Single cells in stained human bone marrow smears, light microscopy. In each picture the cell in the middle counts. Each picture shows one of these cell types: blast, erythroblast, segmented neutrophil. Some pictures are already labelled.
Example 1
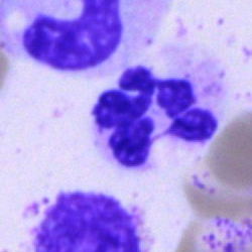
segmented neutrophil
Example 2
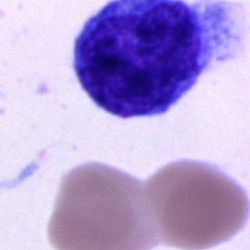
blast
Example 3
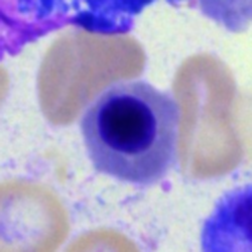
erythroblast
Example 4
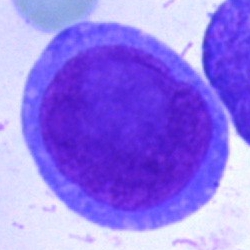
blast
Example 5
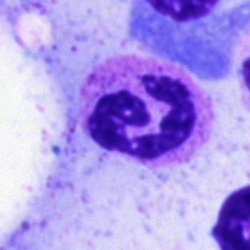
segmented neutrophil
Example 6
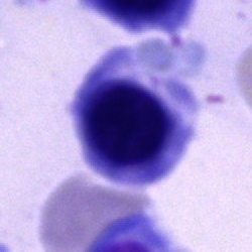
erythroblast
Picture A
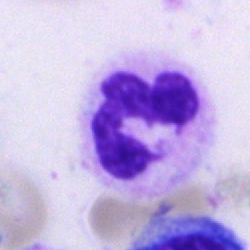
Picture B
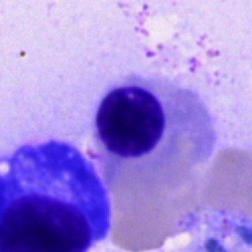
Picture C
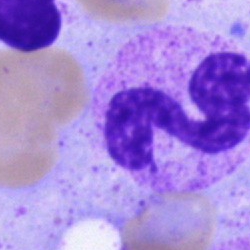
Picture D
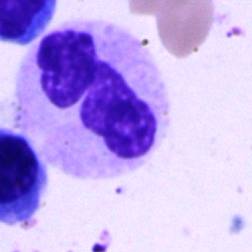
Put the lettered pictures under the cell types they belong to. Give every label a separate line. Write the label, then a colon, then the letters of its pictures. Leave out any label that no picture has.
erythroblast: B
segmented neutrophil: A, C, D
